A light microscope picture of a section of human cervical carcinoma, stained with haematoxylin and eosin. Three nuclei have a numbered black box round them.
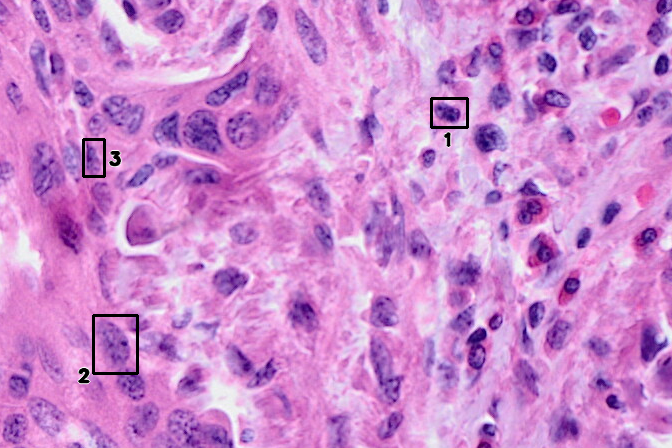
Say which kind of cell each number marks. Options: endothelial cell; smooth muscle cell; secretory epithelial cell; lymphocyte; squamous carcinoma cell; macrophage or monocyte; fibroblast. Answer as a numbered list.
1. lymphocyte
2. squamous carcinoma cell
3. squamous carcinoma cell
